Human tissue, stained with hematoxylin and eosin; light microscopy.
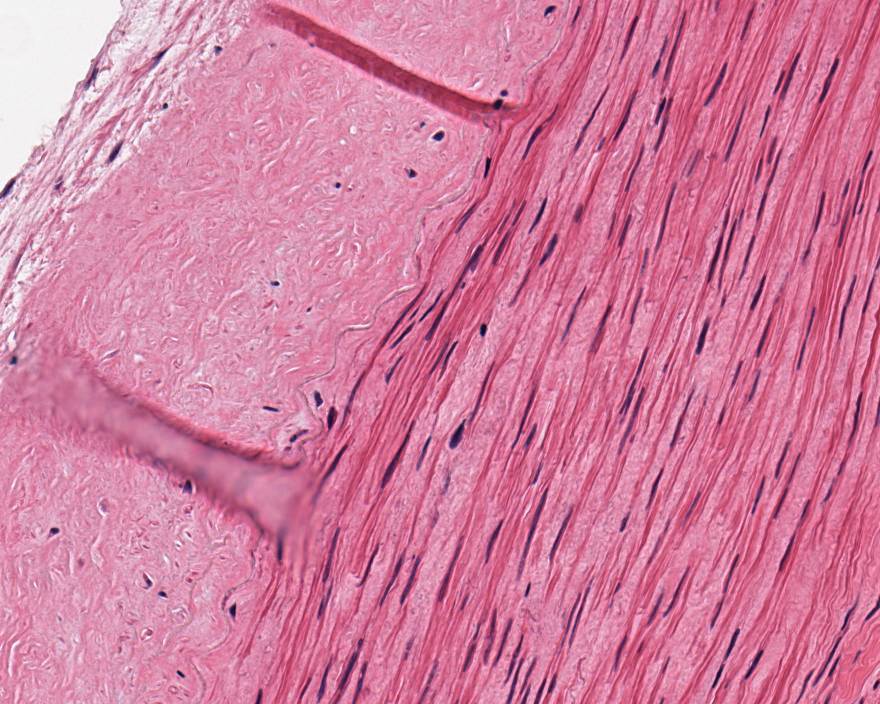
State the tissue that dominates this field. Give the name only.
tunica media of an artery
